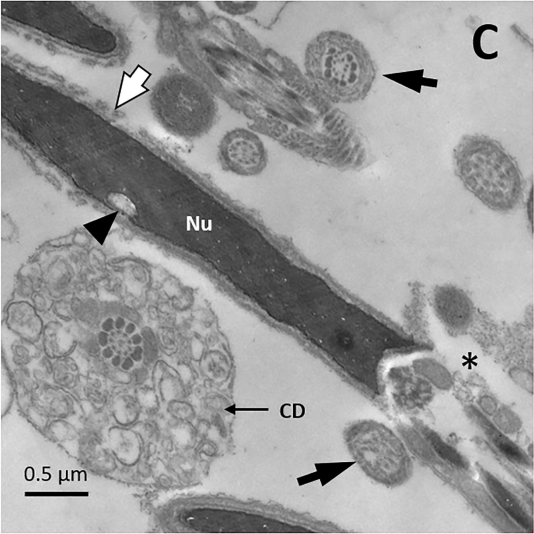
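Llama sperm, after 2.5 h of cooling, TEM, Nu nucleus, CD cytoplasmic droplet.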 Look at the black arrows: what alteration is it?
Axonemal microtubule disorganization.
